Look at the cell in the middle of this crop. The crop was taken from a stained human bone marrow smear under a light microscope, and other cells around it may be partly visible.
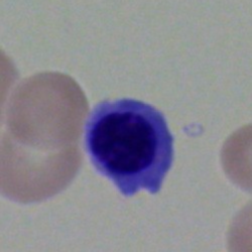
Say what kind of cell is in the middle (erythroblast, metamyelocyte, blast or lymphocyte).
erythroblast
